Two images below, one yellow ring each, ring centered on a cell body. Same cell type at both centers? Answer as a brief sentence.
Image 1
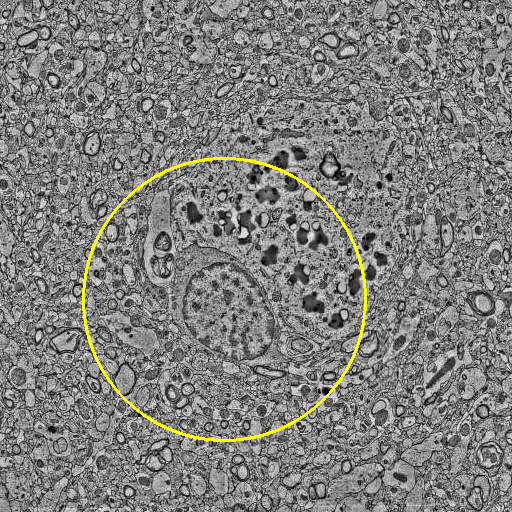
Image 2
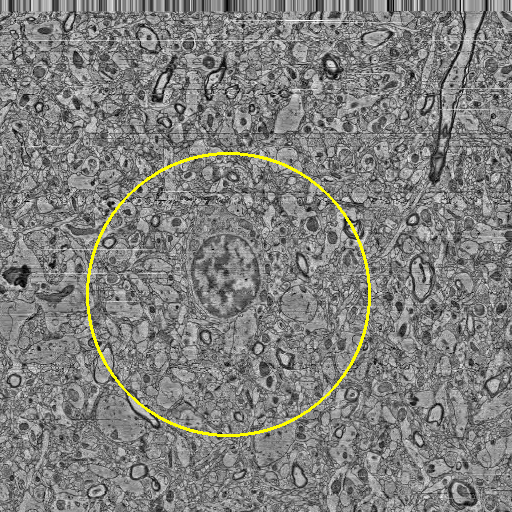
Yes, both cells are of the same type.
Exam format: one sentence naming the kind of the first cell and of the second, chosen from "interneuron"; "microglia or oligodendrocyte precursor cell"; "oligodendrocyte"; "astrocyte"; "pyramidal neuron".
Both the first and the second picture show an oligodendrocyte in the ring.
